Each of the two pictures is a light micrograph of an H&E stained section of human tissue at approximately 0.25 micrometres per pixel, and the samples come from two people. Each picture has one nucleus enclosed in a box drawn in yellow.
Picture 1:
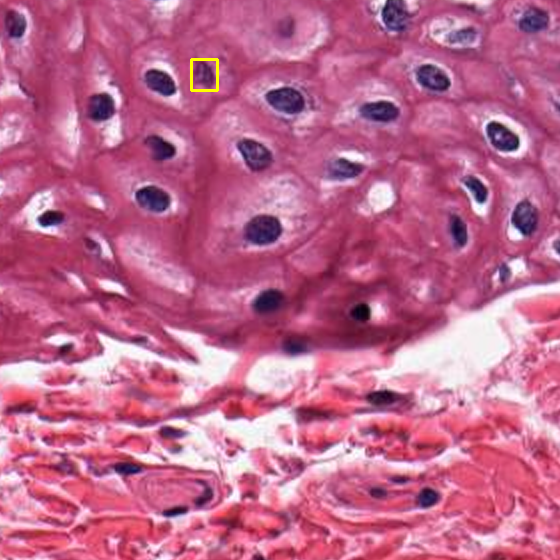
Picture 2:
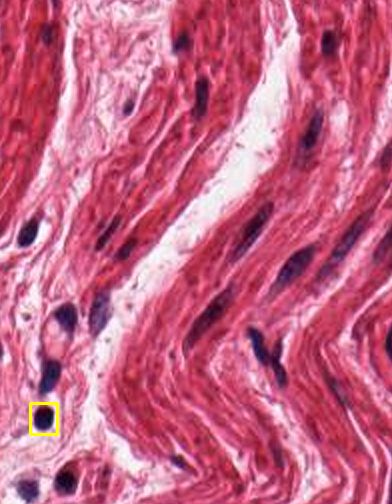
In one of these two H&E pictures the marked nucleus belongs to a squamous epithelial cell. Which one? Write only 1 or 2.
1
